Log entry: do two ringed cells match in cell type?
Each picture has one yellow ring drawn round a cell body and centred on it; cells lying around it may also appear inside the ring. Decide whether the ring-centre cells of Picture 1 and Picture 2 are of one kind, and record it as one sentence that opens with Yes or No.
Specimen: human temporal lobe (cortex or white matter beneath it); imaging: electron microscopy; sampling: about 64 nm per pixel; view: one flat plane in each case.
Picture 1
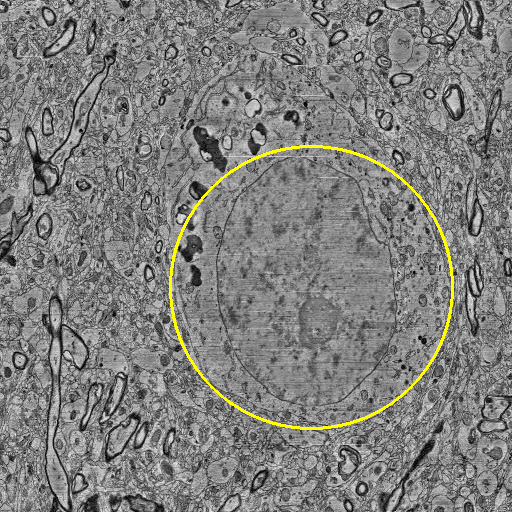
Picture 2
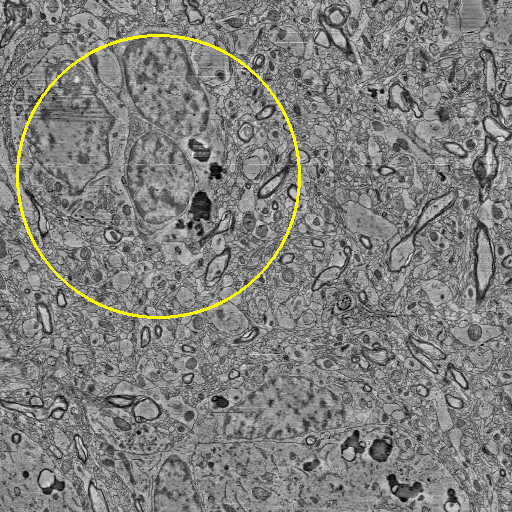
No, the cells at the ring centres of the two pictures belong to two kinds.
